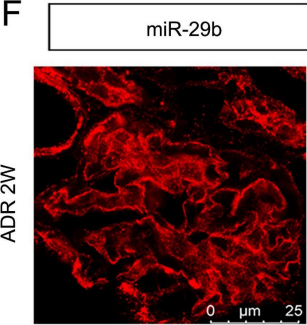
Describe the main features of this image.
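Glomerular tuft seen in red fluorescence alone. The red signal outlines many curved, folded loops that fill the tuft and give it a lacy, reticular look. Brighter red lines follow the edges of the loops, with darker spaces enclosed between them. Along the left and upper margin the signal is broader and more diffuse.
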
